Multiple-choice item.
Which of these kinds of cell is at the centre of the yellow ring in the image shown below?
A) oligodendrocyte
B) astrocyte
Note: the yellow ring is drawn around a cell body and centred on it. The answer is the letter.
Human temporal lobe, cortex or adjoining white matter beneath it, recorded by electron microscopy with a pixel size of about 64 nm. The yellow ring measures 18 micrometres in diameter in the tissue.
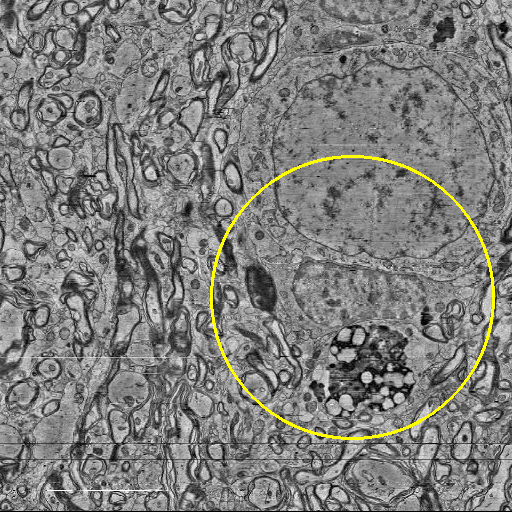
A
